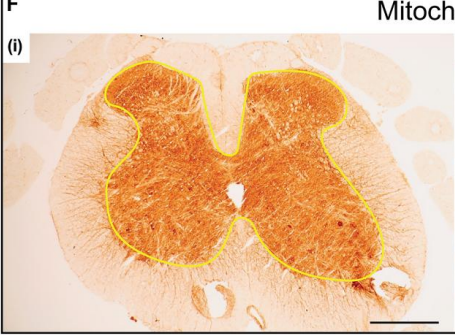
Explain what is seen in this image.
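This is a transverse section of spinal cord in which the central, butterfly-shaped grey matter stains an intense orange-brown. The surrounding white matter is much paler, with fine brown streaks running radially through it. The two halves of the grey matter are symmetrical, with horns of similar size on each side and a small central canal at the midline. Within the grey matter the staining is dense and evenly distributed, with a fine fibrous texture and scattered darker dots.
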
